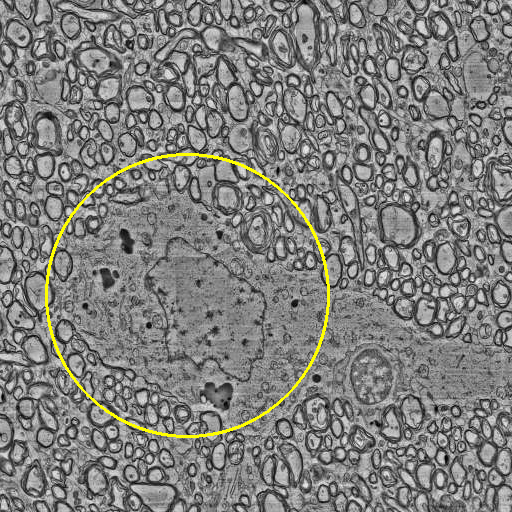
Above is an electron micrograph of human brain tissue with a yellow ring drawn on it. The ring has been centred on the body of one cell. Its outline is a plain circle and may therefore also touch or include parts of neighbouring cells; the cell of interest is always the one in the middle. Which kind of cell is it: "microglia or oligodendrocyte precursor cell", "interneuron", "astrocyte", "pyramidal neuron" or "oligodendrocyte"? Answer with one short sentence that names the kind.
The ring's central cell body is that of a pyramidal neuron.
